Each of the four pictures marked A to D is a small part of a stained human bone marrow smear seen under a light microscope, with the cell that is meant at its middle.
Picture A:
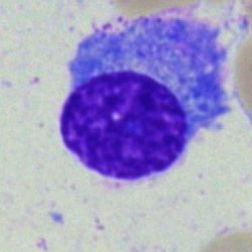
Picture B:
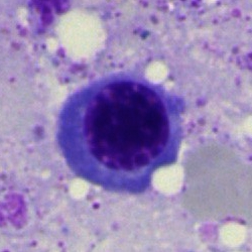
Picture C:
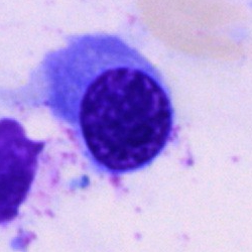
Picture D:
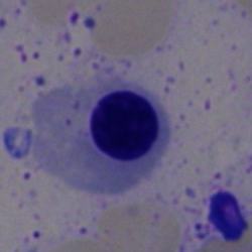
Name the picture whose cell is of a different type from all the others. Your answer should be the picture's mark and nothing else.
A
